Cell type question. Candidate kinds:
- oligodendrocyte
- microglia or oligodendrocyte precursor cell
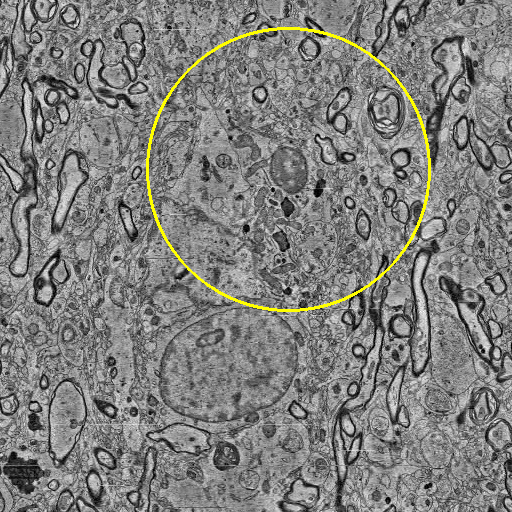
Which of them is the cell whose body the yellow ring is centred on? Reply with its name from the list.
microglia or oligodendrocyte precursor cell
